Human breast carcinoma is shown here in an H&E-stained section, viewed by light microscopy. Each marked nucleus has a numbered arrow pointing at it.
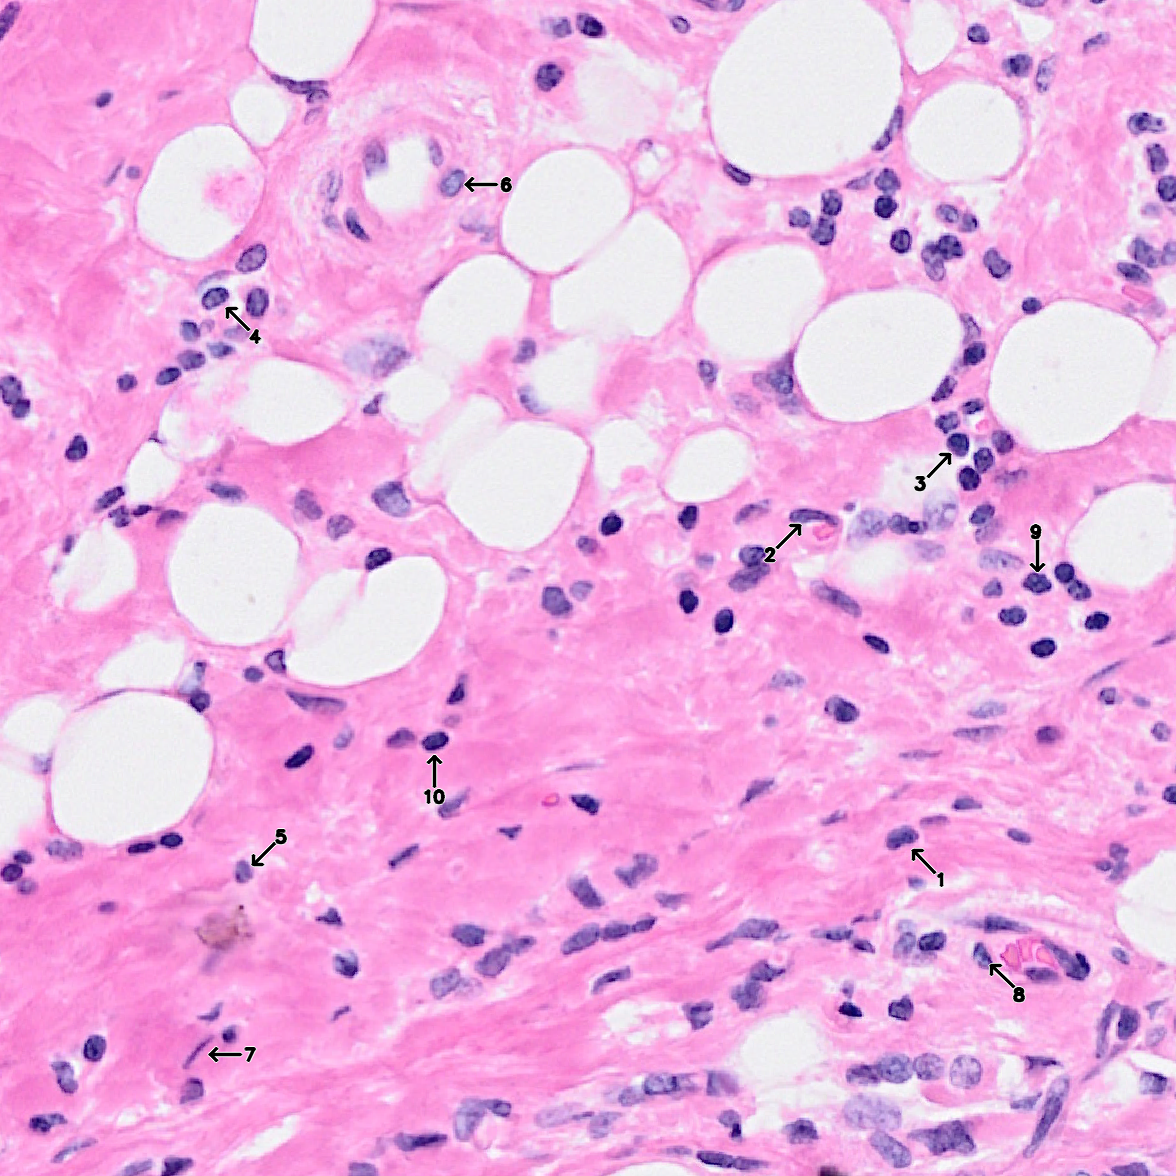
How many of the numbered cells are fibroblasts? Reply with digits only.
1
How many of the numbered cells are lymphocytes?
6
